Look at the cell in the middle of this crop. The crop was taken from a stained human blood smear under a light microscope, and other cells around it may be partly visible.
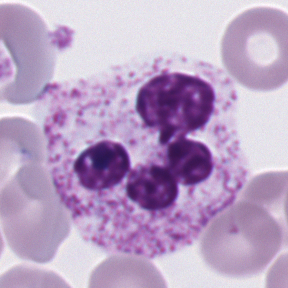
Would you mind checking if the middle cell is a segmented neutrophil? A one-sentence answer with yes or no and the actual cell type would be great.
Yes, that is a segmented neutrophil in the middle of the crop.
